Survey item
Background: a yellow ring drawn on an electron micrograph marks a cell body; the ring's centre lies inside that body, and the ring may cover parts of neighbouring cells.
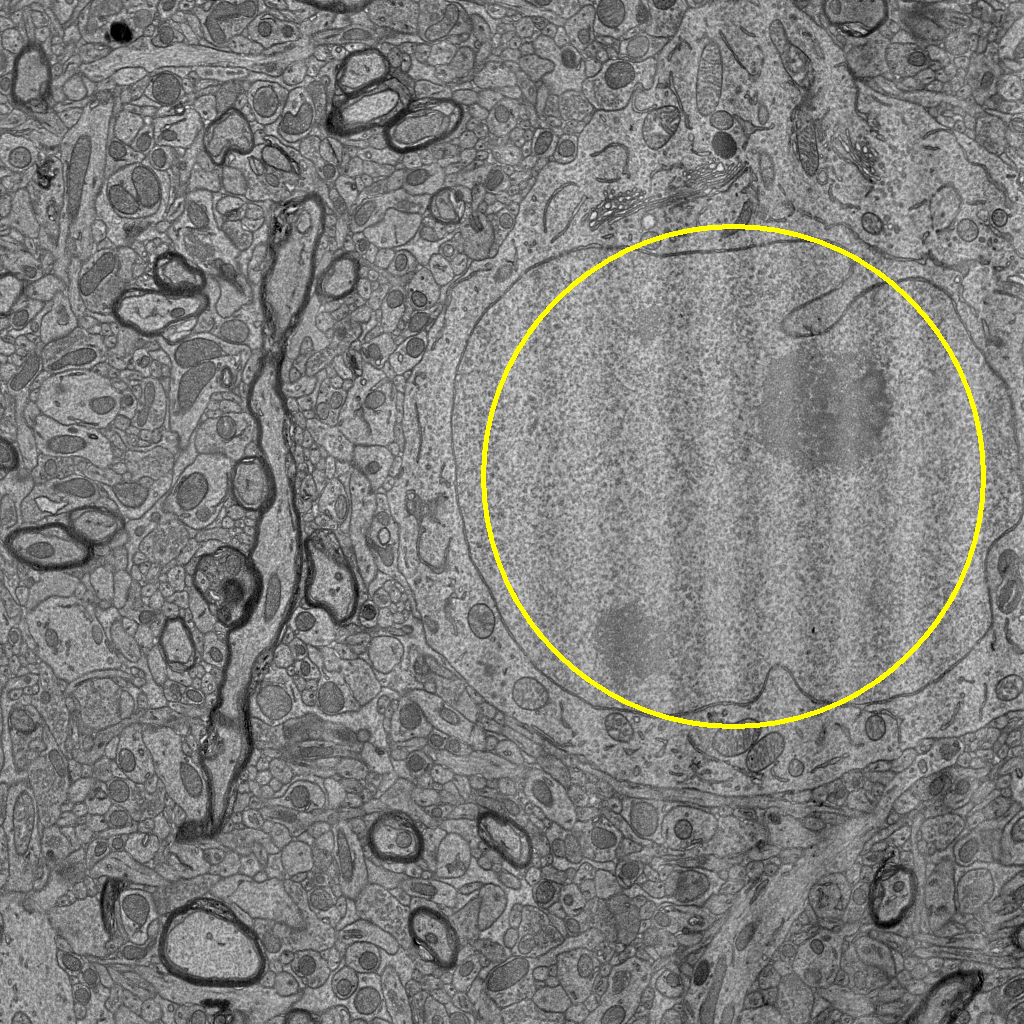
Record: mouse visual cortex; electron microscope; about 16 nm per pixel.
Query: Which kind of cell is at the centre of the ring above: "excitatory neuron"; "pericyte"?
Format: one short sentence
The cell in the middle of the ring is an excitatory neuron.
